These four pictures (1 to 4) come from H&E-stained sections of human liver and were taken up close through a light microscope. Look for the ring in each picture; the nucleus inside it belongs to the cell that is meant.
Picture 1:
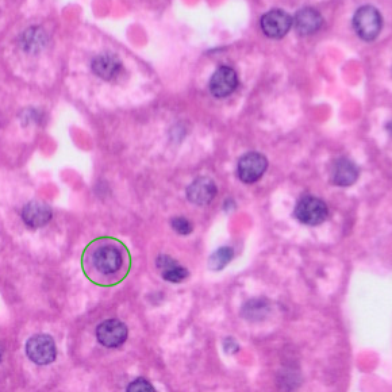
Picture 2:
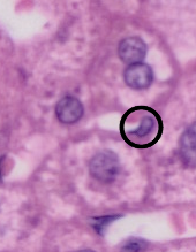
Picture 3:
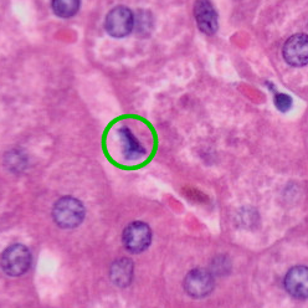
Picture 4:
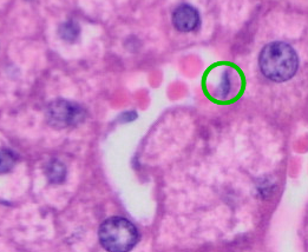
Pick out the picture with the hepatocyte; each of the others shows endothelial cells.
1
